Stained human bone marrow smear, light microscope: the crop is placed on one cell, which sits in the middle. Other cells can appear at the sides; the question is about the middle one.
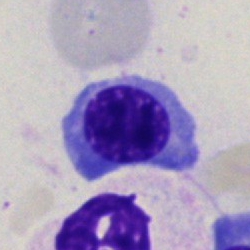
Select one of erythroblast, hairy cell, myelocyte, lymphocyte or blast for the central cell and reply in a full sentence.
Looking at the middle of the crop, the cell there is an erythroblast.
